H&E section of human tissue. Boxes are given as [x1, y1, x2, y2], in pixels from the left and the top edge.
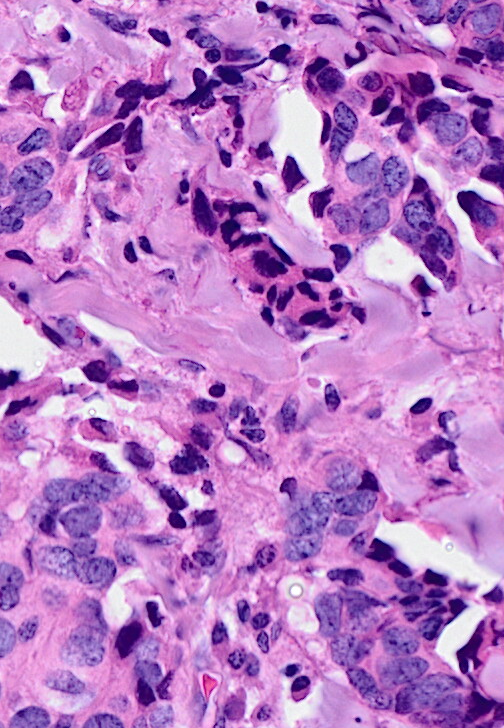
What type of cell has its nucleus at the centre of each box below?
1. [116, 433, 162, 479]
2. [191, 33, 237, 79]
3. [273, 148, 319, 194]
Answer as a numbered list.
1. carcinoma cell
2. lymphocyte
3. carcinoma cell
